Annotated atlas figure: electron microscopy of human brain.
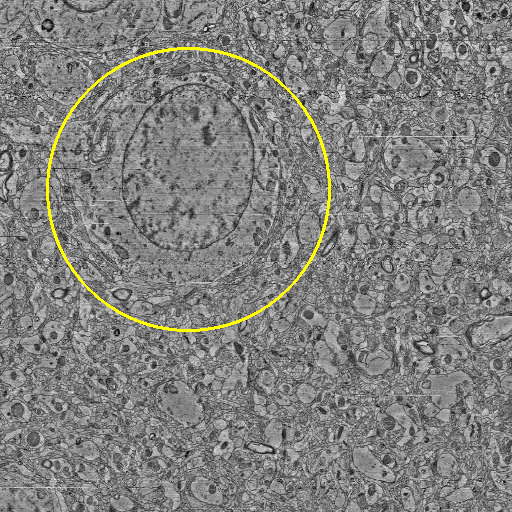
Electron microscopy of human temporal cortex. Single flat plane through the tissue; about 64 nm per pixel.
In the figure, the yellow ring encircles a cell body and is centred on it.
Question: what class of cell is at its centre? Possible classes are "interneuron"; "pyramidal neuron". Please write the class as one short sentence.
The yellow ring is drawn around a pyramidal neuron.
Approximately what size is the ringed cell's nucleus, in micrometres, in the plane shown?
The nucleus measures about 11 by 8 micrometres in this plane.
